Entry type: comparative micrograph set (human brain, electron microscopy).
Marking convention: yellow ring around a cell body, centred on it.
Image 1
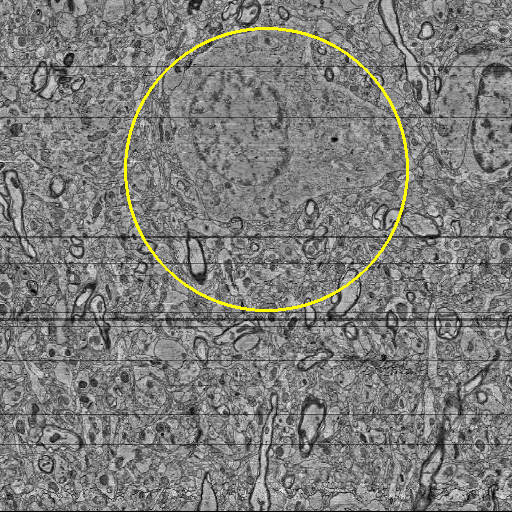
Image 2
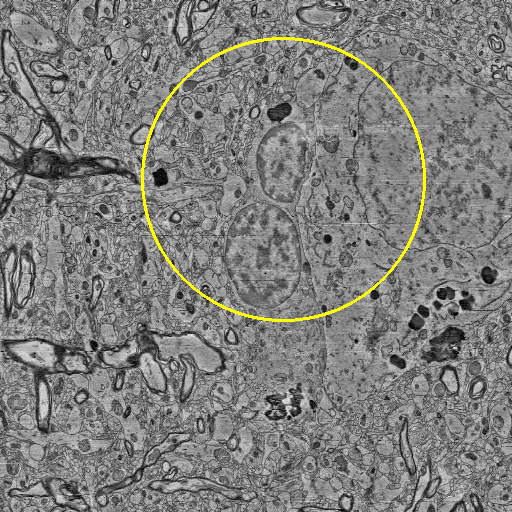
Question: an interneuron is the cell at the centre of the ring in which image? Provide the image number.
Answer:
1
